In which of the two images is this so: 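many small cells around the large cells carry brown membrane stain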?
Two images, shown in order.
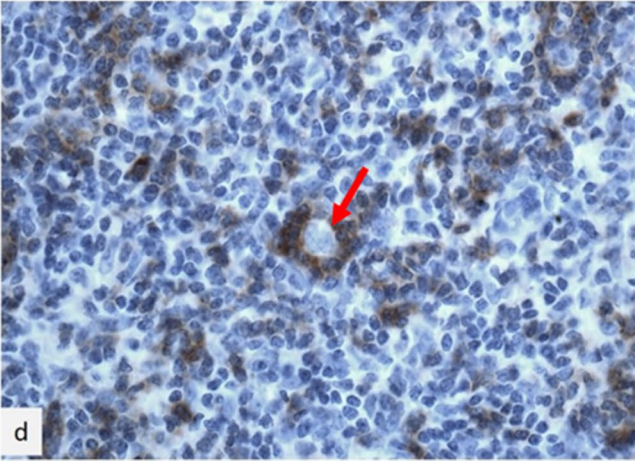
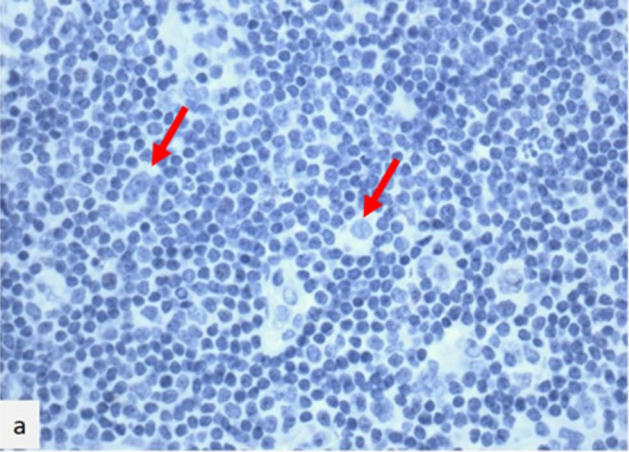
The first image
